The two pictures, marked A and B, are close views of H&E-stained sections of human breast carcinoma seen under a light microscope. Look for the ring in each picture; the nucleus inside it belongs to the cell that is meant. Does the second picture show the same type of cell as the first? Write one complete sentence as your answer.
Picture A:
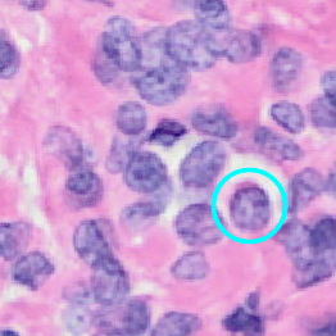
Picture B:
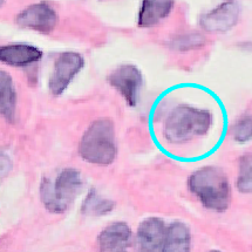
Yes, both cells are carcinoma cells.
